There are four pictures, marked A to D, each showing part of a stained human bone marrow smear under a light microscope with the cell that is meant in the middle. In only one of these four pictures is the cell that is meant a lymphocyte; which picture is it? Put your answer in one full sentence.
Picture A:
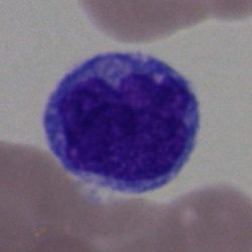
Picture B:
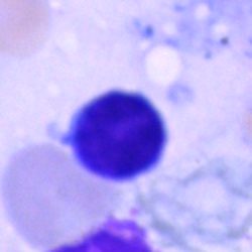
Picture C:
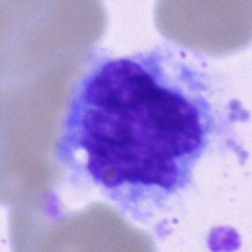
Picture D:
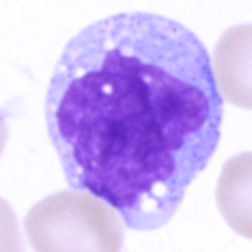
Picture B is the one that shows the lymphocyte.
